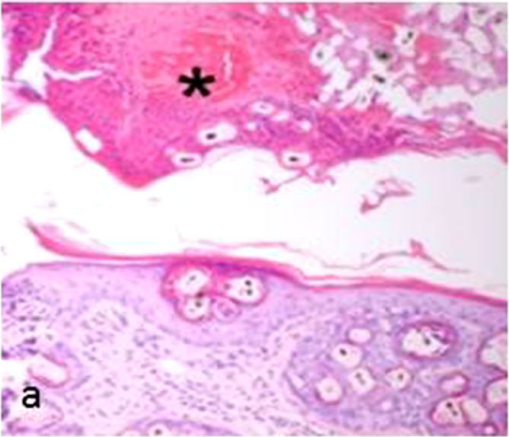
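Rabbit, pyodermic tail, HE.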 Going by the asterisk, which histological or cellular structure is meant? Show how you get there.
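Thick serocellular crust. A thick, intensely pink layer lies on top of the tissue, separated from the epidermis below by a clear space. The layer is dense and eosinophilic with scattered darker purple nuclear debris.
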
